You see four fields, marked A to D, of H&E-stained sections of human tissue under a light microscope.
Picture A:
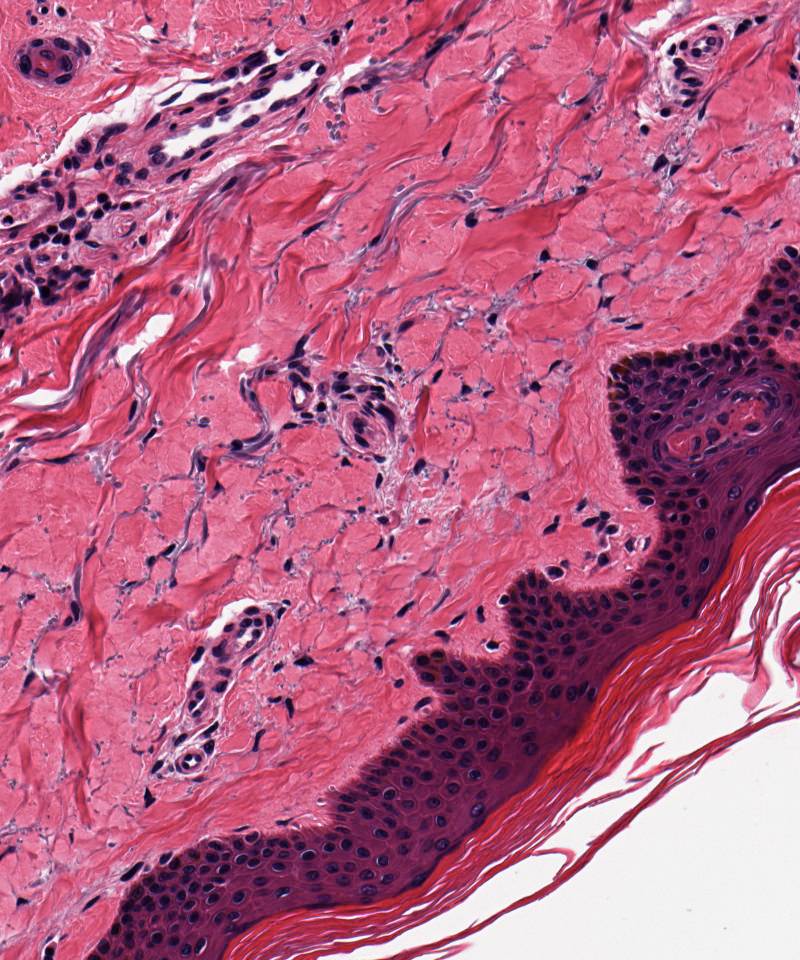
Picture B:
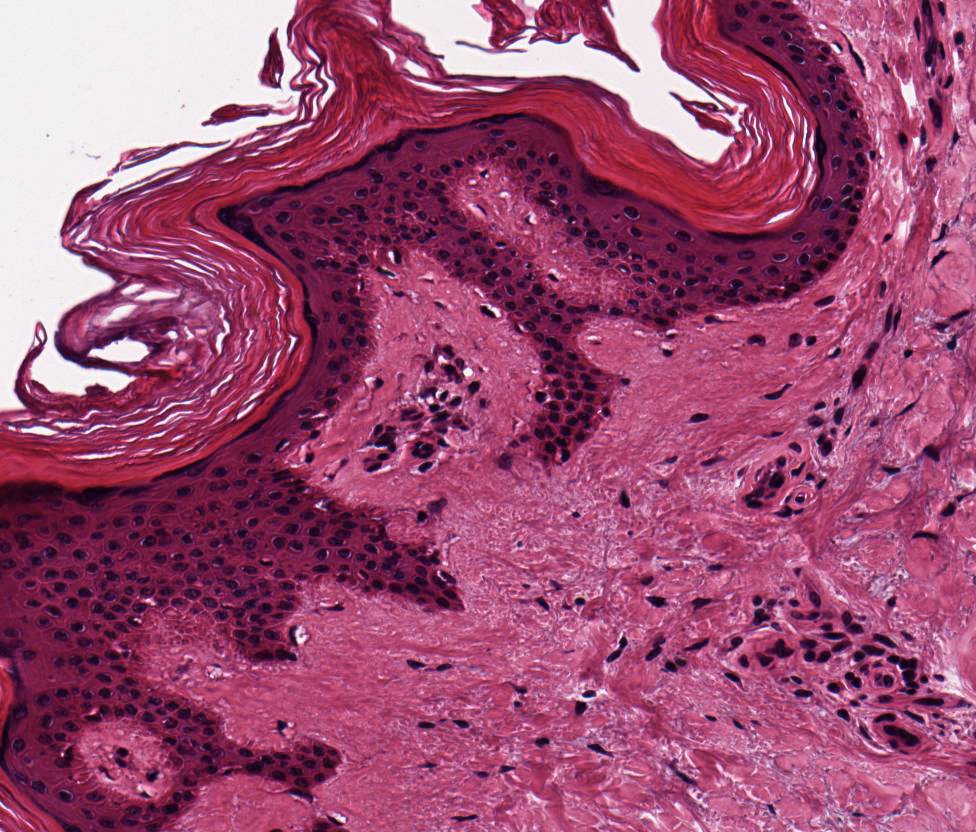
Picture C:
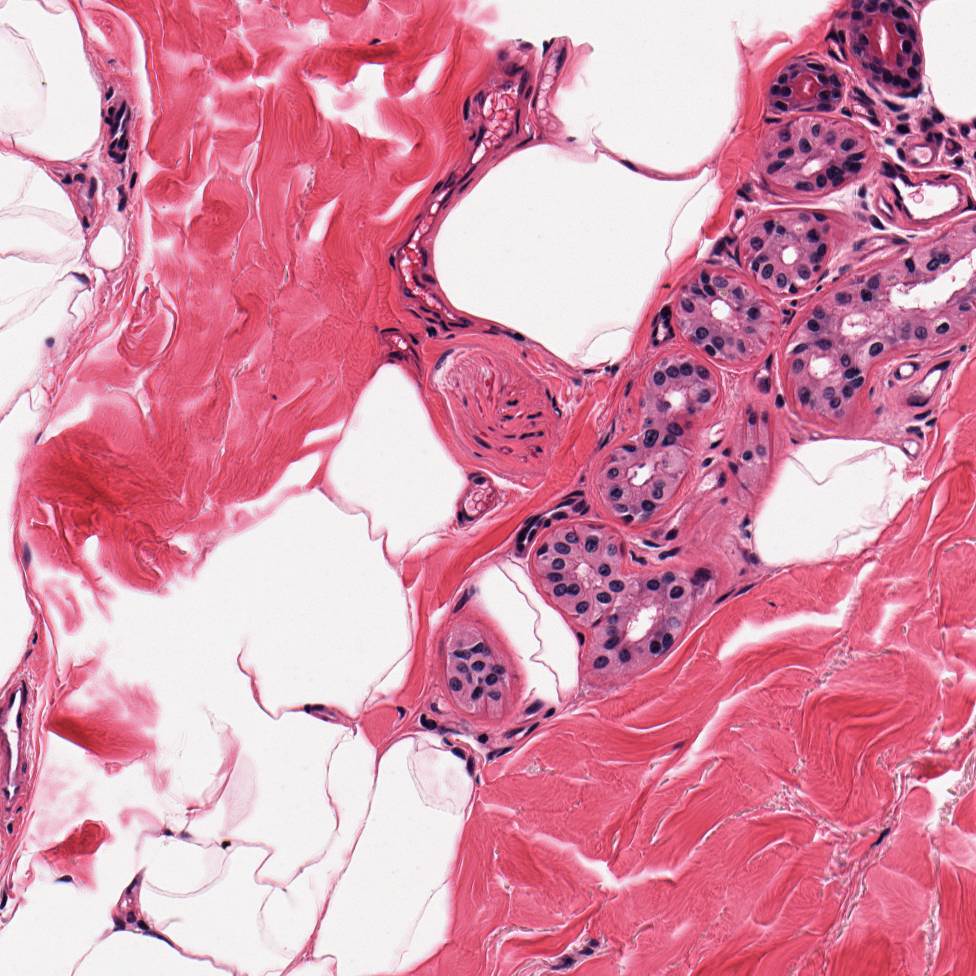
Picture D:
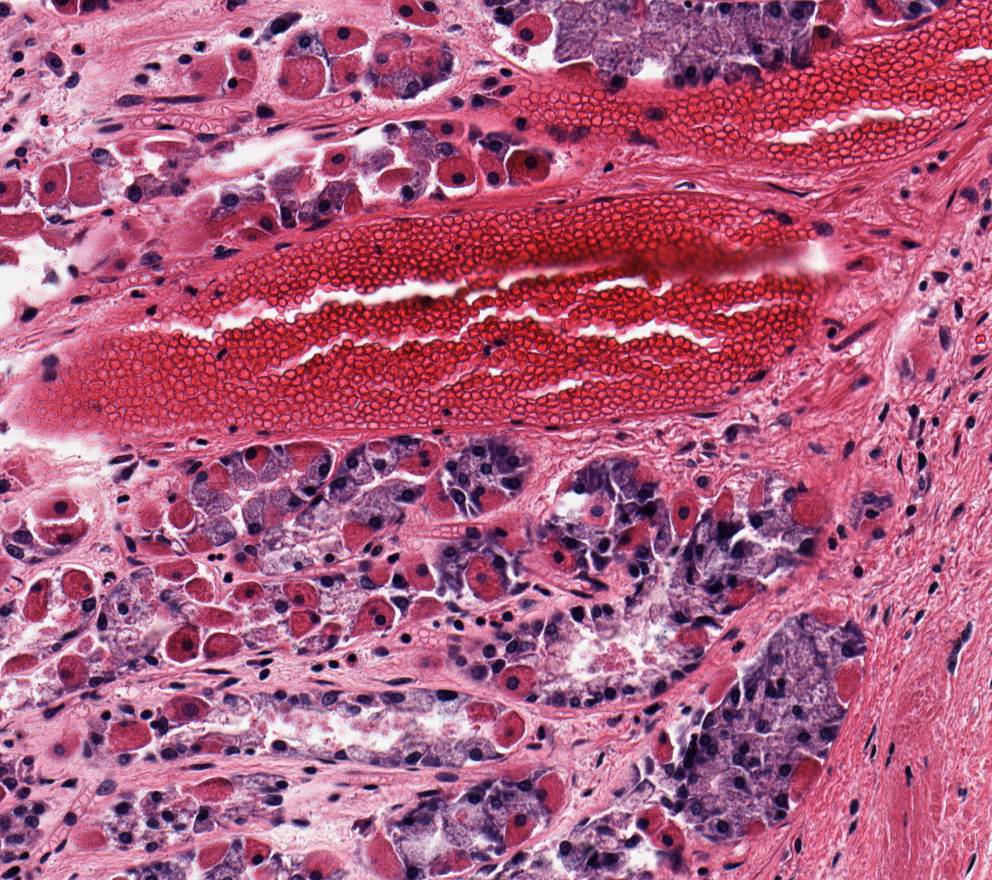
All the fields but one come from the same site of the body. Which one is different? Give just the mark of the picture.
D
